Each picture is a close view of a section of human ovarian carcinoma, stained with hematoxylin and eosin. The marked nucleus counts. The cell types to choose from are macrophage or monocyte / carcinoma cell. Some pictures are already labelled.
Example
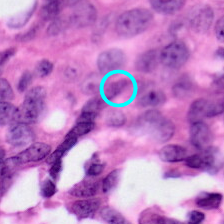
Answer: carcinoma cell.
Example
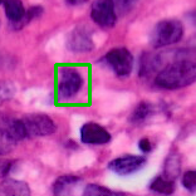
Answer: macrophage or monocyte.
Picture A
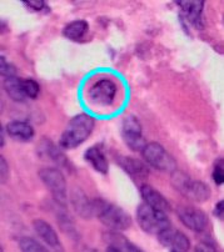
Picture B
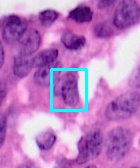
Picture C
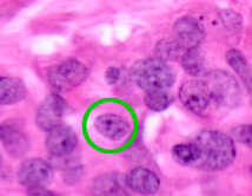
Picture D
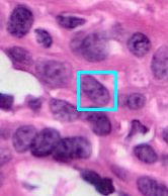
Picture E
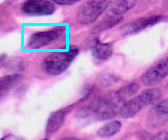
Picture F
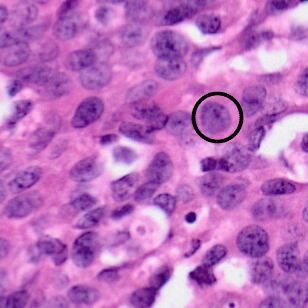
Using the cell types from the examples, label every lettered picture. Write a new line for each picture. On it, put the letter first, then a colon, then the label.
A: macrophage or monocyte.
B: carcinoma cell.
C: macrophage or monocyte.
D: carcinoma cell.
E: carcinoma cell.
F: carcinoma cell.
